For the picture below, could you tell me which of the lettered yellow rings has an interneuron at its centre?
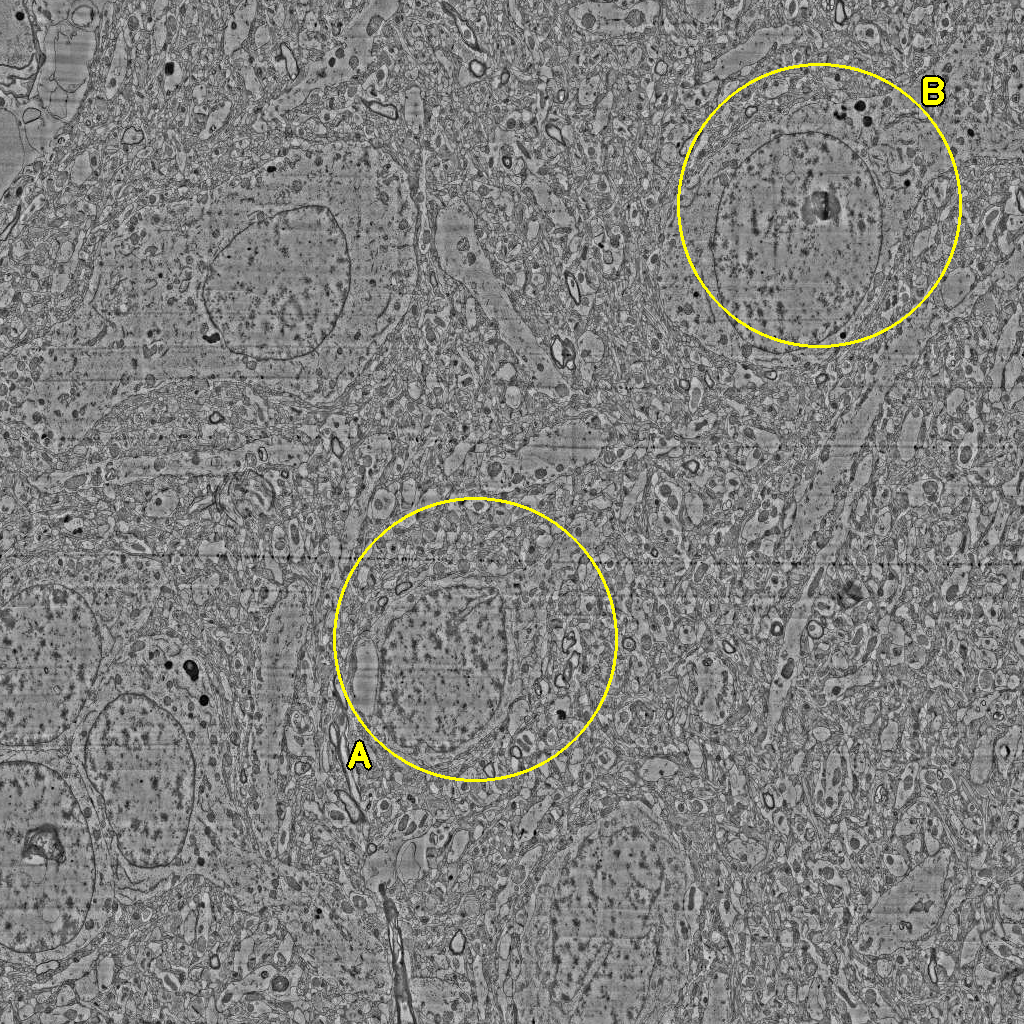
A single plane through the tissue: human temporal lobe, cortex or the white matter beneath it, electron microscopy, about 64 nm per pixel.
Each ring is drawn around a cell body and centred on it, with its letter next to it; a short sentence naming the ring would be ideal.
Ring A is centred on it.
